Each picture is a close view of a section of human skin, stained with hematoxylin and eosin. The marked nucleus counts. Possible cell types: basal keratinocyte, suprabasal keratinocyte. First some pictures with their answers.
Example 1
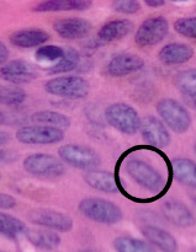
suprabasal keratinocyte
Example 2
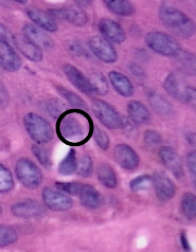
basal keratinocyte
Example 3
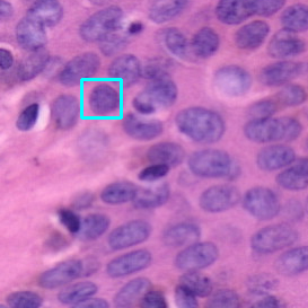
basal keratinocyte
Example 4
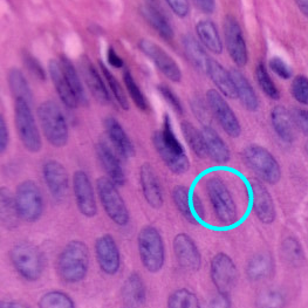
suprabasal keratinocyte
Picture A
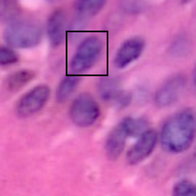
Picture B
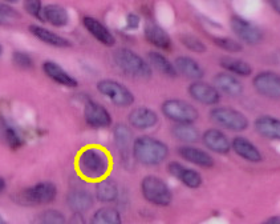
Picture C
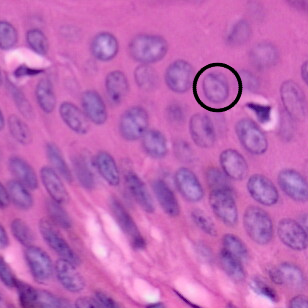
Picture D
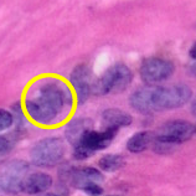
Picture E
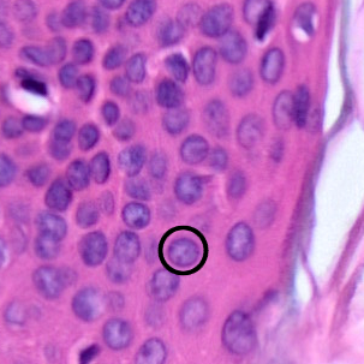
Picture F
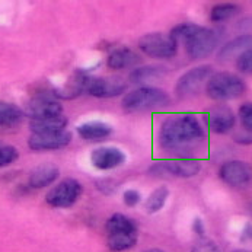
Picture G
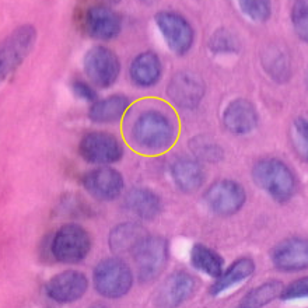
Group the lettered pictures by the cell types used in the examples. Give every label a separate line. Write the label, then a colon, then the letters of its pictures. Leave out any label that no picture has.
basal keratinocyte: A, B, D, F
suprabasal keratinocyte: C, E, G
